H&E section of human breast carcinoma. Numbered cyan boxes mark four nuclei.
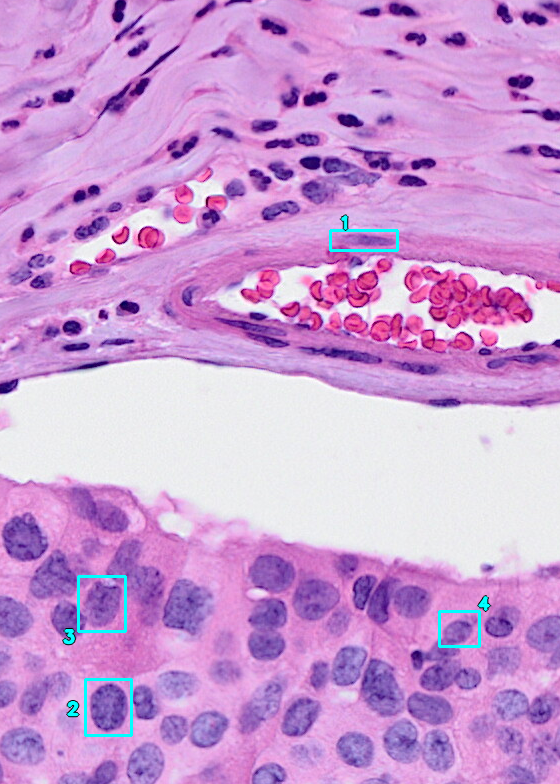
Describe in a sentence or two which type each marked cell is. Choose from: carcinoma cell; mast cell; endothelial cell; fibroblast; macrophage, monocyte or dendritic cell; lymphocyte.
Cell 1 is an endothelial cell, cell 2 is a carcinoma cell, cell 3 is a carcinoma cell and cell 4 is a carcinoma cell.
